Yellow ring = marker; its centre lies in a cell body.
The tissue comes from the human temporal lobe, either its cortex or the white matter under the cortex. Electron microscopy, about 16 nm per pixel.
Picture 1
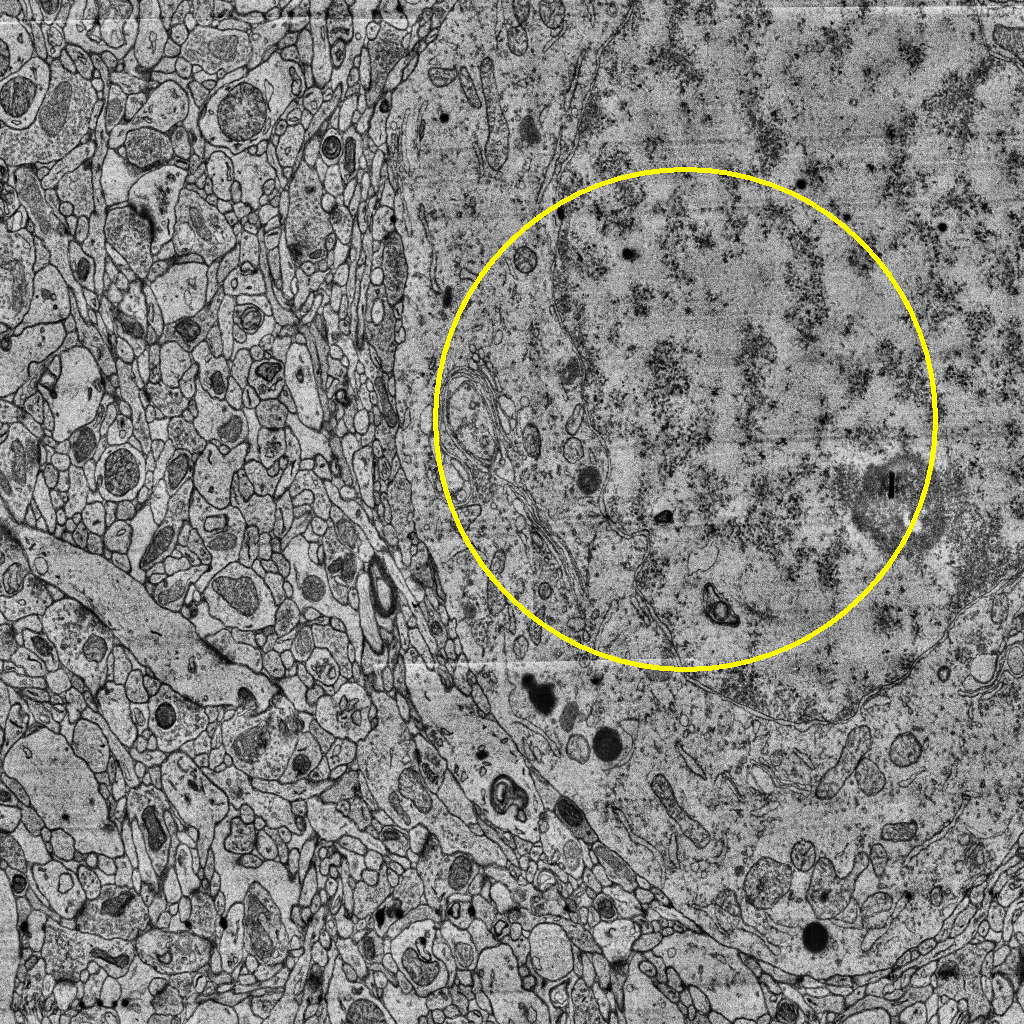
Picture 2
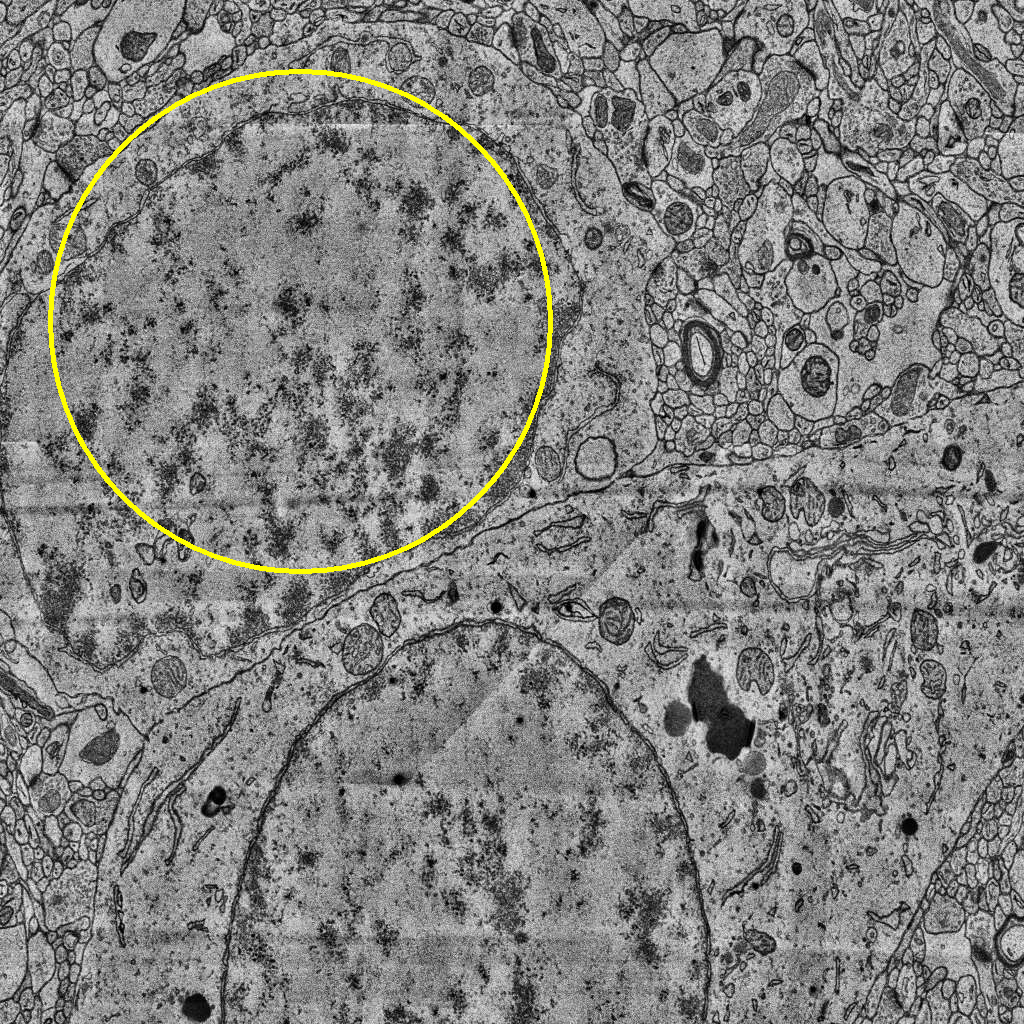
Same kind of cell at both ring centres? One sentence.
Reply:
Yes, they are the same kind of cell.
